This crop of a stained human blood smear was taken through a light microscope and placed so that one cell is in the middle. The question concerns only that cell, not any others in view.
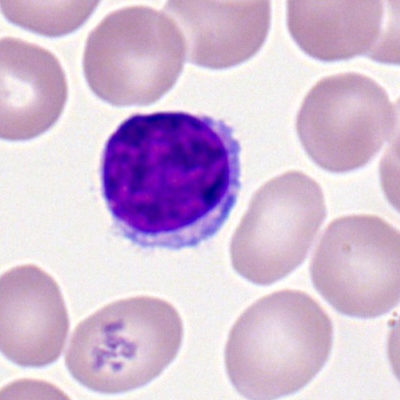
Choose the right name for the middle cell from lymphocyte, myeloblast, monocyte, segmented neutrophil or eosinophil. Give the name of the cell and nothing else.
lymphocyte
